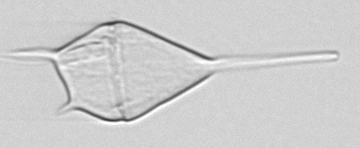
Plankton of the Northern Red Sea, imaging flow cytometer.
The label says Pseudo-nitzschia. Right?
Wrong: this is Tripos.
